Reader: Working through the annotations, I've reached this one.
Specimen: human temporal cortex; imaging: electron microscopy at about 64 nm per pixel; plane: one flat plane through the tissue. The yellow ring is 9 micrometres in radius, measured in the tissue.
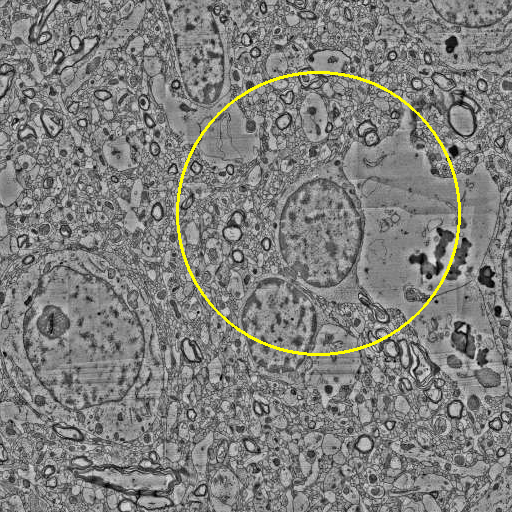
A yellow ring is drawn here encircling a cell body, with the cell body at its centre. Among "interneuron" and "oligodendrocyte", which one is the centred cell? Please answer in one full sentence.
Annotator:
The cell body at the centre of the yellow ring in this image belongs to an oligodendrocyte.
